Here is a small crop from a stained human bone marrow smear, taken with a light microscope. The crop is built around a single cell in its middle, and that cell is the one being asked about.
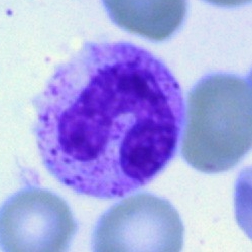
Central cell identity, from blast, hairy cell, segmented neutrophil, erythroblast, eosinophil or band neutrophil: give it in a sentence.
The crop's centre is taken up by a band neutrophil.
